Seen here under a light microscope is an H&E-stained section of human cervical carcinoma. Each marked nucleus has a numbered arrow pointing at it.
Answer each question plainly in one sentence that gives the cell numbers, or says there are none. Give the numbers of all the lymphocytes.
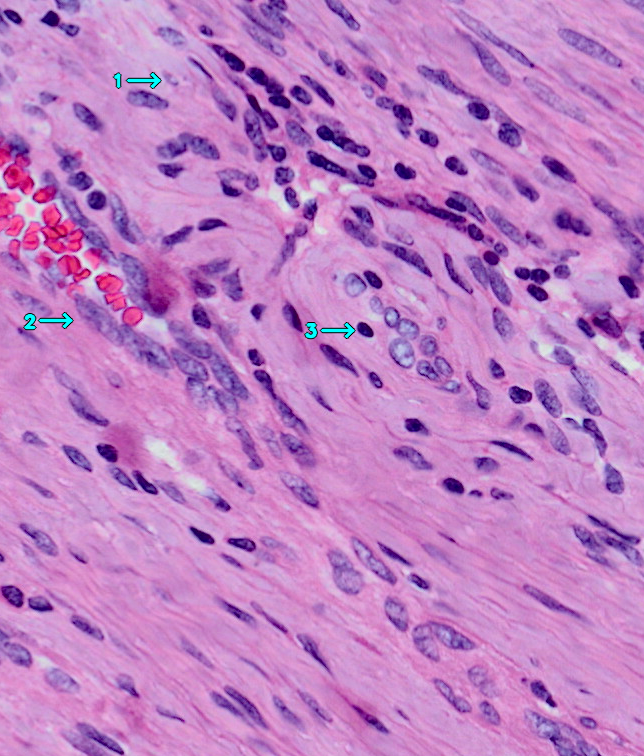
No marked cell except number 3 is a lymphocyte.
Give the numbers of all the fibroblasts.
Just the cell marked 1 is a fibroblast; none of the other marked cells is.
